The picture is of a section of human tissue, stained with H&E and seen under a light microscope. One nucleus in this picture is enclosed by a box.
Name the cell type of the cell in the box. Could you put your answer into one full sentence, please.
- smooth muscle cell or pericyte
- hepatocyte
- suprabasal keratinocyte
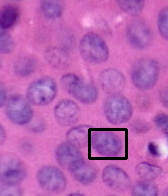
As a matter of cell type, the cell in the box is a suprabasal keratinocyte.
